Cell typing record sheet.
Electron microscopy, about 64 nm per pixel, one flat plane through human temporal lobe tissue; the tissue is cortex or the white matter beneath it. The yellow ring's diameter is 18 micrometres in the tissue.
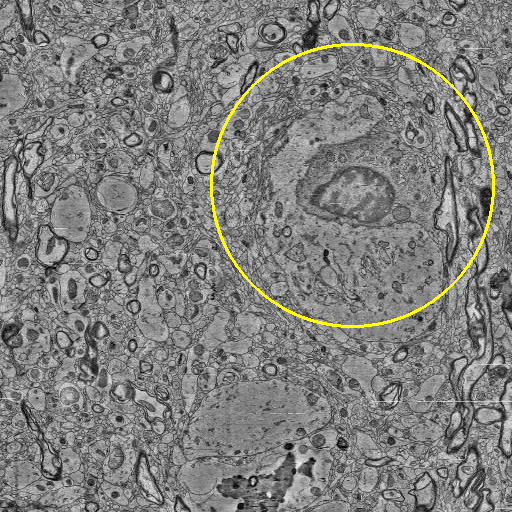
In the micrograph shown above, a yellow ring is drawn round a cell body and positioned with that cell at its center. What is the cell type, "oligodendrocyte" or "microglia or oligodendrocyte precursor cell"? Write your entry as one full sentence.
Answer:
The cell body at the center of the ring belongs to an oligodendrocyte.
